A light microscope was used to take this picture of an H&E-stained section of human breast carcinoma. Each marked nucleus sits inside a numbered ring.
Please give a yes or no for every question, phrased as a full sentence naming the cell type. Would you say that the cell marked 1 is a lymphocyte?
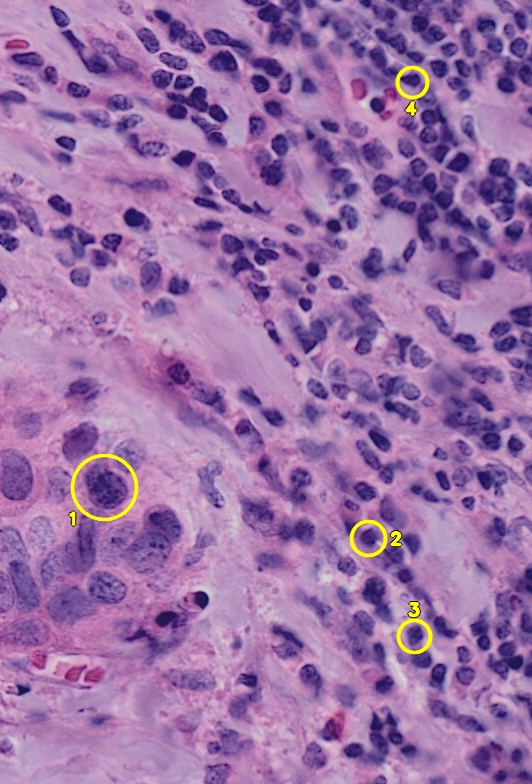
No, the cell carrying number 1 is a carcinoma cell, not a lymphocyte.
